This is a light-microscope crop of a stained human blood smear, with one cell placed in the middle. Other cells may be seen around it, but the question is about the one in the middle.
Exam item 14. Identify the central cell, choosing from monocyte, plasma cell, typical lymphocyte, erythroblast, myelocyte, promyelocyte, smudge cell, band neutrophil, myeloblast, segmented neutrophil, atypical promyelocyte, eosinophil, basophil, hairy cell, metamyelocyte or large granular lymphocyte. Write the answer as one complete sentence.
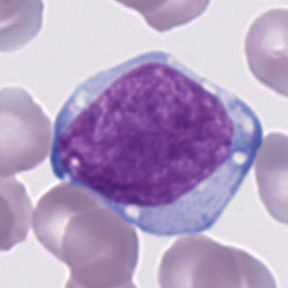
In the middle of this smear crop is a myeloblast.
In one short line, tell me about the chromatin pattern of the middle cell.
The chromatin shows a fine pattern without coarse clumps.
